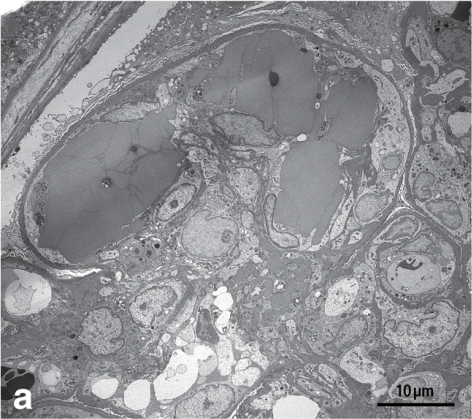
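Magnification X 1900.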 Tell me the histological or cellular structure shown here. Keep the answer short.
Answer: Electron-dense crystals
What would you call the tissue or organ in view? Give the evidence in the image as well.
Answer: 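Several loops are filled with homogeneous grey material. That points to this answer: Glomerulus.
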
